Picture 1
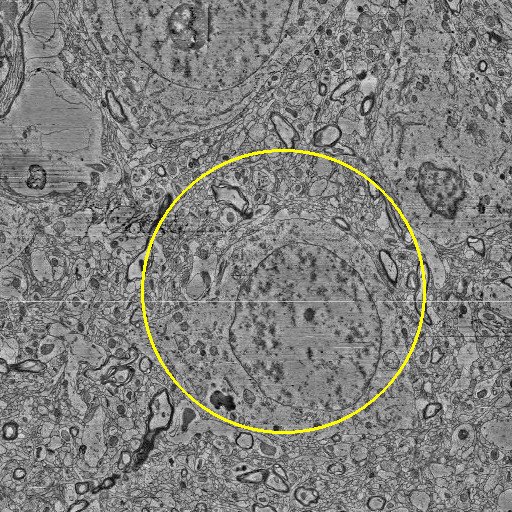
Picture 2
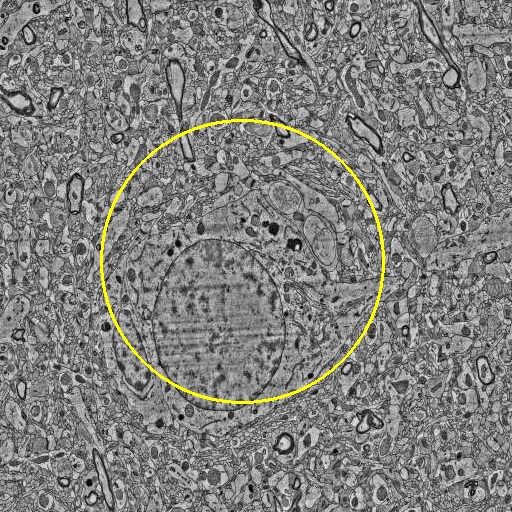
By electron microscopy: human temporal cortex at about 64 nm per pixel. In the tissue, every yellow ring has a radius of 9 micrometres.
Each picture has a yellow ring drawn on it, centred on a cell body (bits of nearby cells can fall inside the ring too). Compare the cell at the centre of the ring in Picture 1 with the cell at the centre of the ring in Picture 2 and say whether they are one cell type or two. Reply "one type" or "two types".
one type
